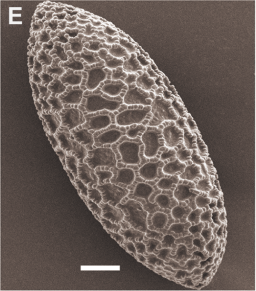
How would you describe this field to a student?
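This is a single pollen grain seen whole, long and ellipsoidal with tapering ends. Its outer wall is sculptured into a net: raised ridges enclose pits of varying size and shape. The meshes are largest over the middle of the grain and become smaller and tighter toward both ends. The ridges look beaded, built of small rounded elements set in a row.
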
